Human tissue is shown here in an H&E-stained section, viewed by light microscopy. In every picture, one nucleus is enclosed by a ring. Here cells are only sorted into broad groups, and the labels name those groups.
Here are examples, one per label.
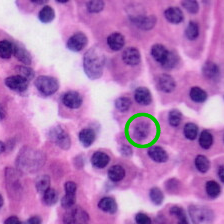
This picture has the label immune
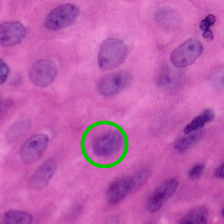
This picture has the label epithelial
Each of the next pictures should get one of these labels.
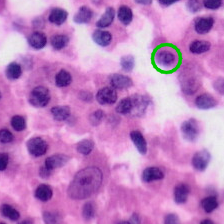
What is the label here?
immune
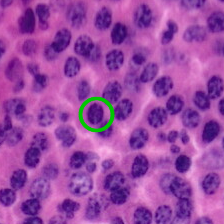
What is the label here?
immune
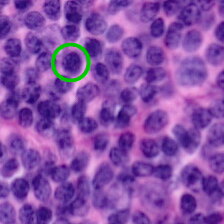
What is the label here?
immune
